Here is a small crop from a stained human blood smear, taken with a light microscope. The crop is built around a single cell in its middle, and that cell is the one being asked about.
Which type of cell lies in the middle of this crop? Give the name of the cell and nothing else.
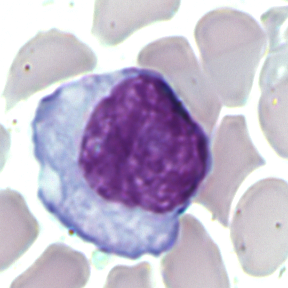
plasma cell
